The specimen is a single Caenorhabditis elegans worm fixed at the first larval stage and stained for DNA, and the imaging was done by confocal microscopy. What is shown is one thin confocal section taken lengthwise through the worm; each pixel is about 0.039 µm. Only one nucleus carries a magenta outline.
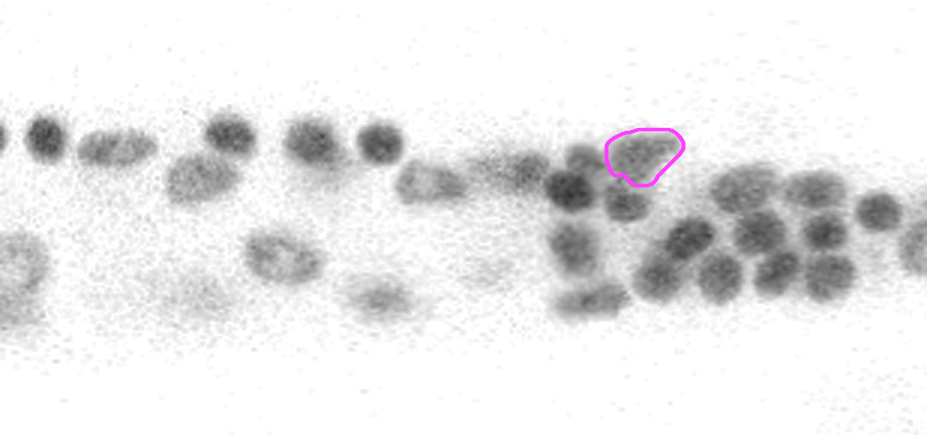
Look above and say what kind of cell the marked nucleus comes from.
rectal epithelial cell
